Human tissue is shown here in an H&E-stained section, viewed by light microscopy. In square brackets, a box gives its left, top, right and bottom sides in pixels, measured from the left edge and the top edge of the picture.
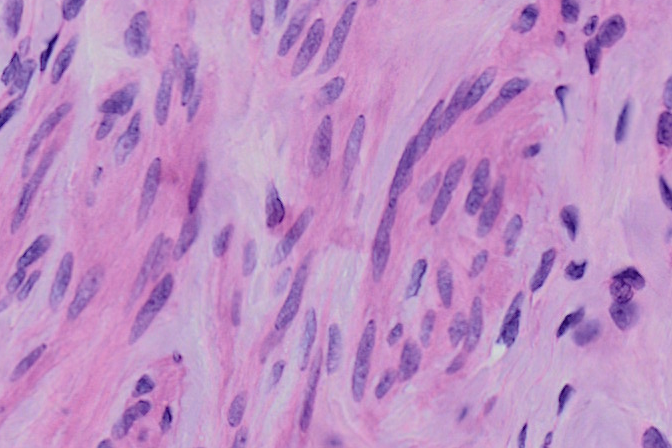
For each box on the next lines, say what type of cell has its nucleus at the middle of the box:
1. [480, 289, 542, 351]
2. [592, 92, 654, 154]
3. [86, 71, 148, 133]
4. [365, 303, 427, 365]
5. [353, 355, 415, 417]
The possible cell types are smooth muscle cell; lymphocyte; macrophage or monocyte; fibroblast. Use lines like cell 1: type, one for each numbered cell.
cell 1: fibroblast
cell 2: fibroblast
cell 3: smooth muscle cell
cell 4: smooth muscle cell
cell 5: smooth muscle cell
